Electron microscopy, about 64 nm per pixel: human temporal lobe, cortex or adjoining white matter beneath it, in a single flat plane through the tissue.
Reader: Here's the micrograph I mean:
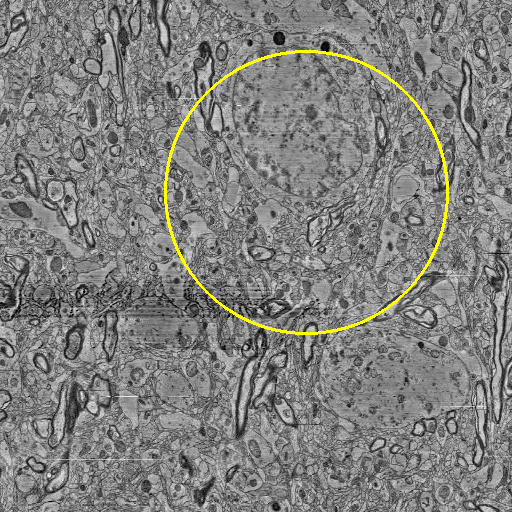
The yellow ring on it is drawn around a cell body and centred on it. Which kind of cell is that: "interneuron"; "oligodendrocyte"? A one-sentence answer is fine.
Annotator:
The ring is centred on an interneuron.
